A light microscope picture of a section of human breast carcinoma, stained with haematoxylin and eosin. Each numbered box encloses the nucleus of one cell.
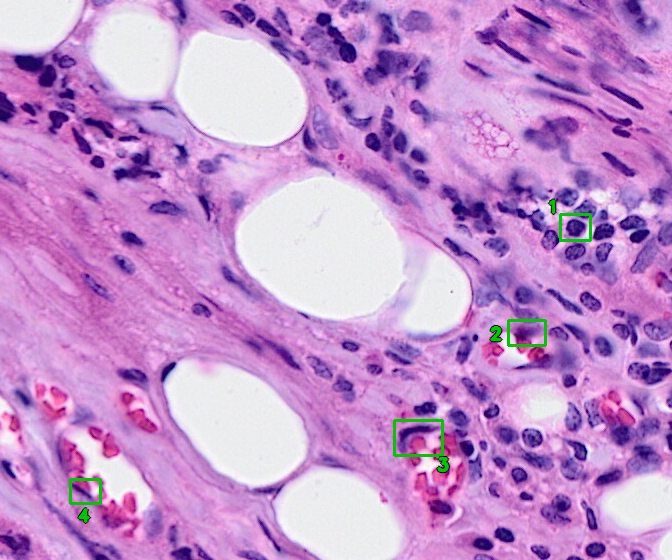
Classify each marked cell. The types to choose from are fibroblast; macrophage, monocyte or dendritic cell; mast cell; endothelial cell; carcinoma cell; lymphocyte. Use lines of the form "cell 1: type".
cell 1: lymphocyte
cell 2: endothelial cell
cell 3: endothelial cell
cell 4: endothelial cell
